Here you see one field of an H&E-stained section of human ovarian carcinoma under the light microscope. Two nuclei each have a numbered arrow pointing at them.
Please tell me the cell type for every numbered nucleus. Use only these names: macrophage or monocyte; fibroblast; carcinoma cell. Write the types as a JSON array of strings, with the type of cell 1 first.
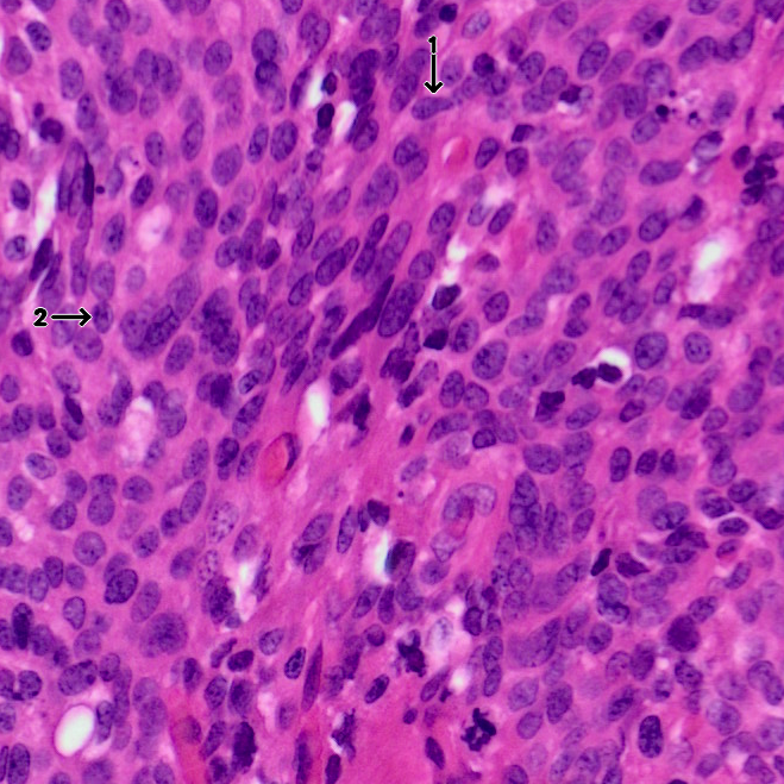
["macrophage or monocyte", "carcinoma cell"]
